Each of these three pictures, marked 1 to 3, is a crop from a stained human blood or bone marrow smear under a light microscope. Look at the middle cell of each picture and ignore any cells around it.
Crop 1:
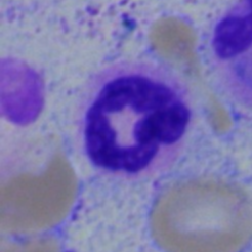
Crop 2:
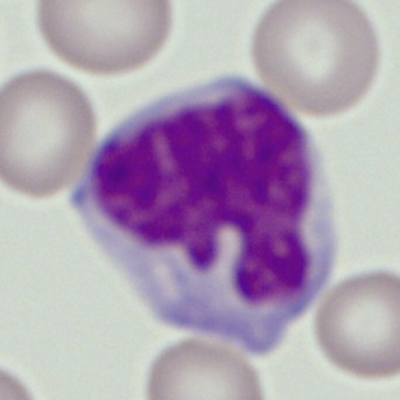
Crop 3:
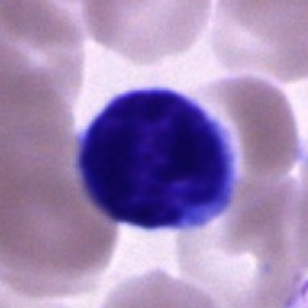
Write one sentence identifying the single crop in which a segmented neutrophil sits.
Of all the crops, crop 1 is the one showing a segmented neutrophil.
